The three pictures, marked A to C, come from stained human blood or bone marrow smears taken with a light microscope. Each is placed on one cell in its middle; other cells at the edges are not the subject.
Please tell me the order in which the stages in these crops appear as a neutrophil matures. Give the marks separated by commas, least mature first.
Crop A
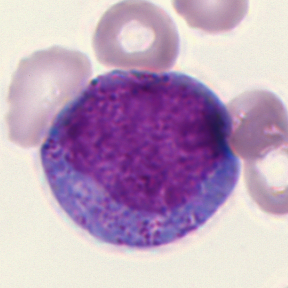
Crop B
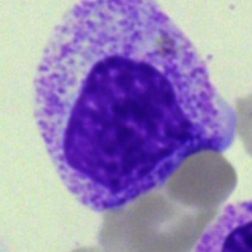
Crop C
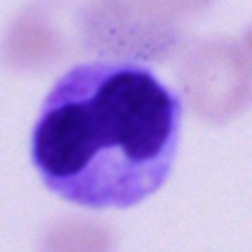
A, B, C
